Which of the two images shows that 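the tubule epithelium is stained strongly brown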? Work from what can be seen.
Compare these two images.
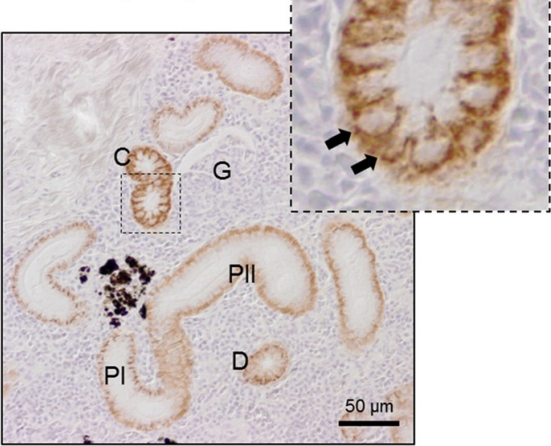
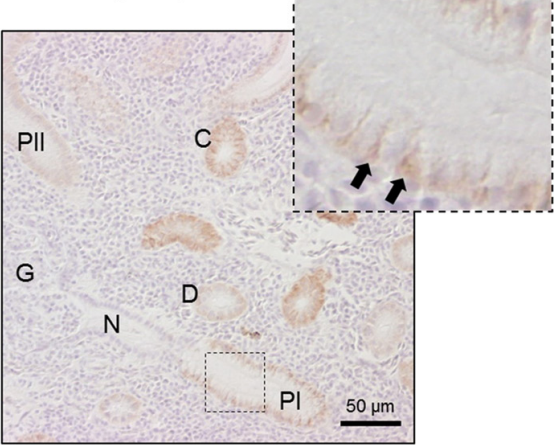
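First image: tubule walls are stained deep brown, most densely in the enlarged tubule. Second image: tubule walls show only a pale, light brown tint.
Answer: the first image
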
